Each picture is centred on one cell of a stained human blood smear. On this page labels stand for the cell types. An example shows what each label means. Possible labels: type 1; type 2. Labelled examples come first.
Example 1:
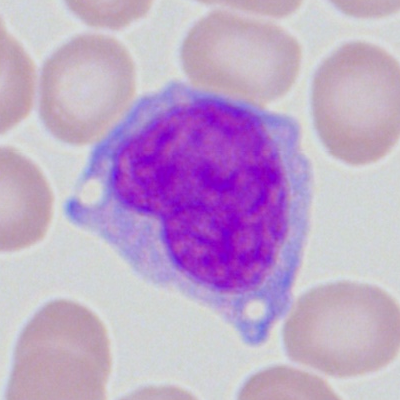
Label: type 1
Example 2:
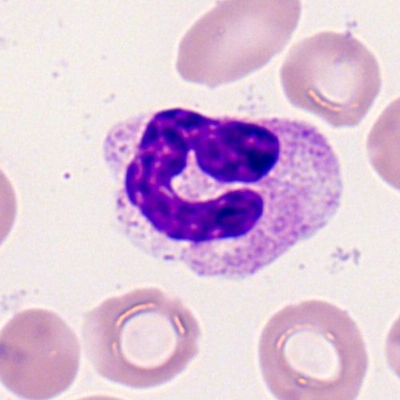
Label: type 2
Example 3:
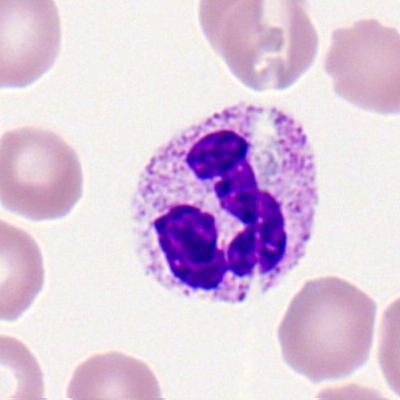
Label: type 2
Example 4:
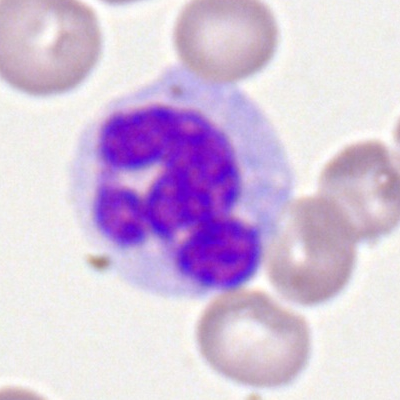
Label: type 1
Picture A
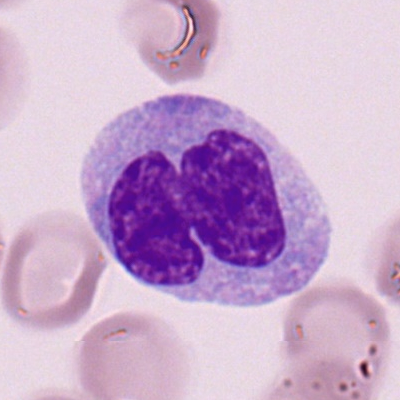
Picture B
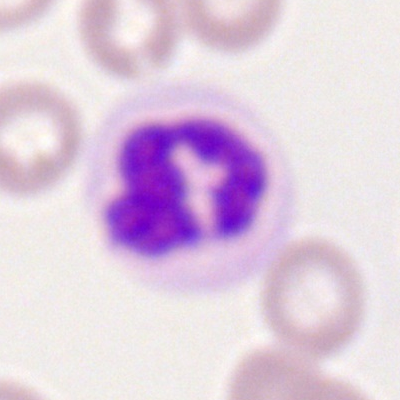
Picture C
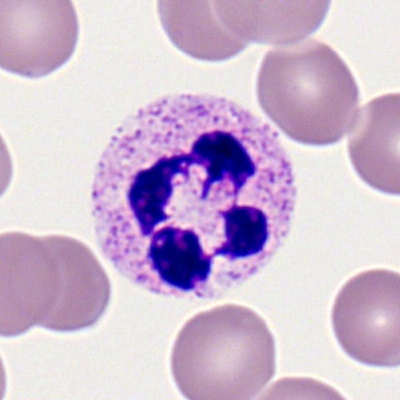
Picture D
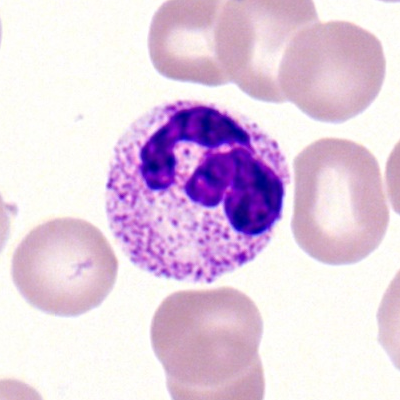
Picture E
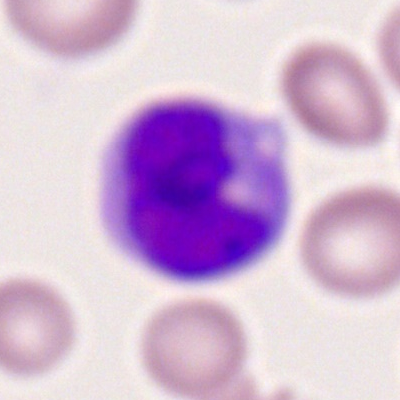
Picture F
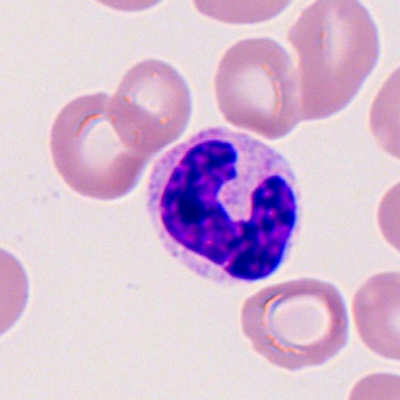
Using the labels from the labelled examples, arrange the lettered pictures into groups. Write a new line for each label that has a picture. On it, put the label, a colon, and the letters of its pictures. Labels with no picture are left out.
type 1: A, E
type 2: B, C, D, F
